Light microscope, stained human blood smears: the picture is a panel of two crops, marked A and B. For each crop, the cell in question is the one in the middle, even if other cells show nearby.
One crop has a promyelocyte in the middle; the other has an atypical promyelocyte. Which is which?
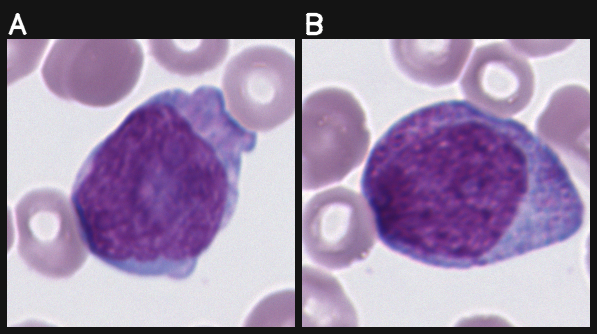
A: promyelocyte
B: atypical promyelocyte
